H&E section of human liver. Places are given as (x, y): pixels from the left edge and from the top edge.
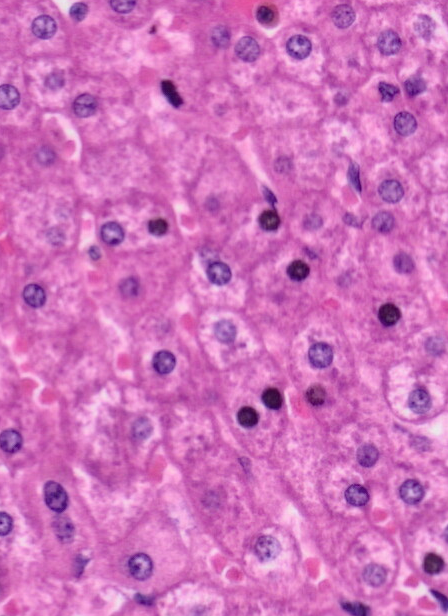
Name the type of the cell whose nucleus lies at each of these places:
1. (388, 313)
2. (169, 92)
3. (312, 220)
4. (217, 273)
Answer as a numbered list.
1. hepatocyte
2. fibroblast or stellate cell
3. hepatocyte
4. hepatocyte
